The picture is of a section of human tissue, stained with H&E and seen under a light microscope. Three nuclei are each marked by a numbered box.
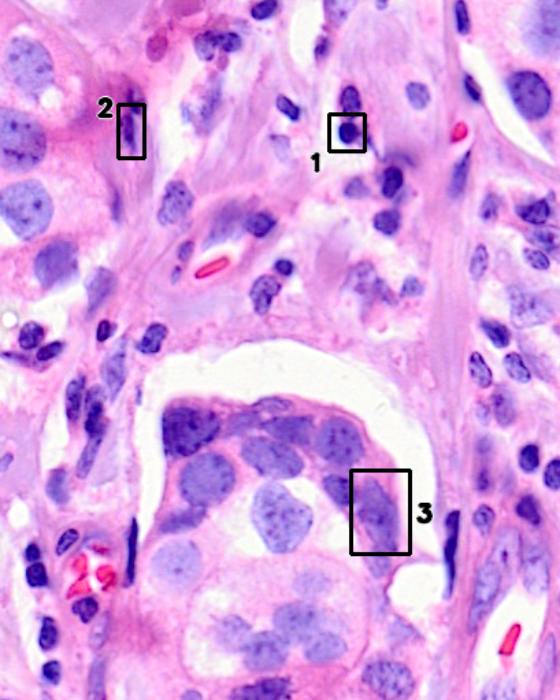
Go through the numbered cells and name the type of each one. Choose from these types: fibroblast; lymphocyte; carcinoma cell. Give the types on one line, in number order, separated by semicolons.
lymphocyte; lymphocyte; carcinoma cell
